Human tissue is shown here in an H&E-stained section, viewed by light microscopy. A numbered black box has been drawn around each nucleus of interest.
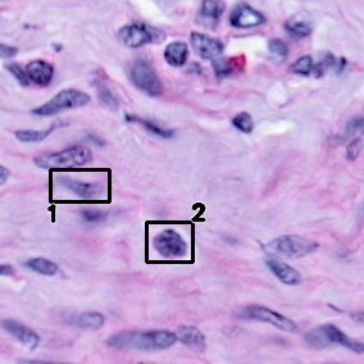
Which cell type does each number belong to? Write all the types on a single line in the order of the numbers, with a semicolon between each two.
smooth muscle cell; lymphocyte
